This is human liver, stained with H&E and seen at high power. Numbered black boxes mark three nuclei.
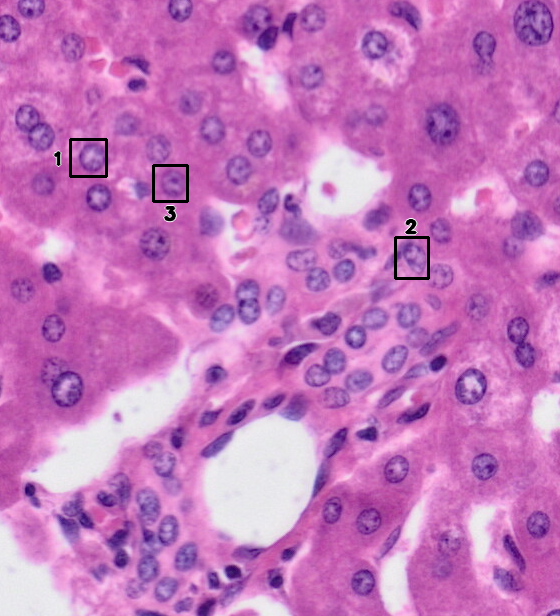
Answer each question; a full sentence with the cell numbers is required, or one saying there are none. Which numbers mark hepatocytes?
The cells with the number labels 1 and 3 are hepatocytes.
